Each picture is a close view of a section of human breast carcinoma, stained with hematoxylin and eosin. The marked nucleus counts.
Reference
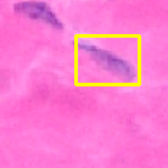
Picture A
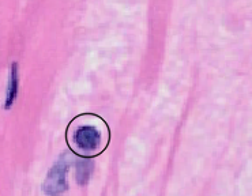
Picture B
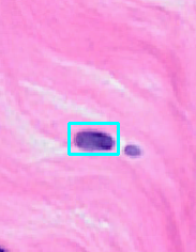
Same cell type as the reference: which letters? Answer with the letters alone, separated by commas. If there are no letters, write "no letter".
no letter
